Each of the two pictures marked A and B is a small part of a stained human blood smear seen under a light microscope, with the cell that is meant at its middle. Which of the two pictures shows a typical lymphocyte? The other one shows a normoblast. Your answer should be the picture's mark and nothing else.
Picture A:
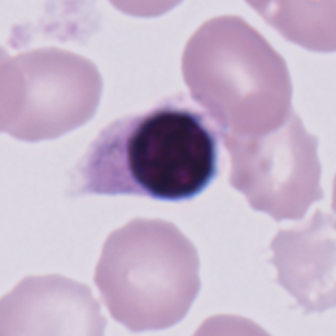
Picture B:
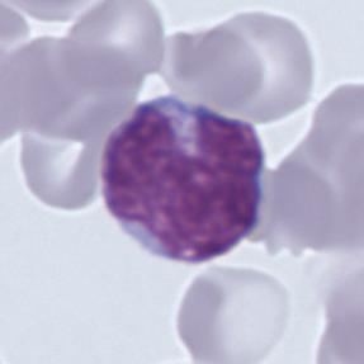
B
